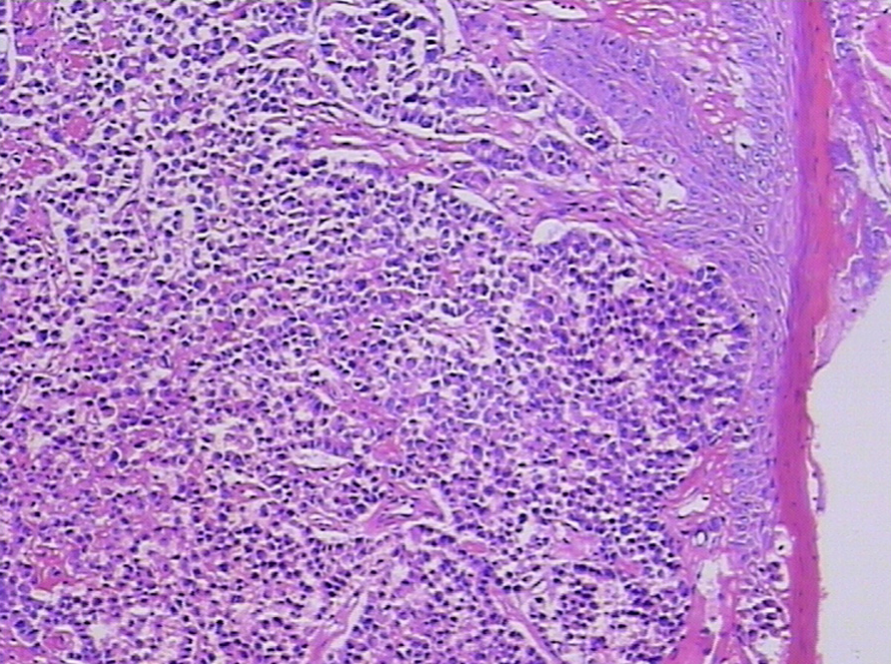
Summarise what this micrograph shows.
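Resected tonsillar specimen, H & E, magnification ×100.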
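The epithelium is a stratified band of cells whose surface is capped by a dense, bright pink layer facing the empty space. To the left of the epithelium, the tissue is crowded with small tumour cells. They have dark purple, closely packed nuclei and little cytoplasm. These cells lie in sheets, nests and cords. Delicate pink fibrous strands run between the groups of cells. The tumour cells push right up against the base of the epithelium.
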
